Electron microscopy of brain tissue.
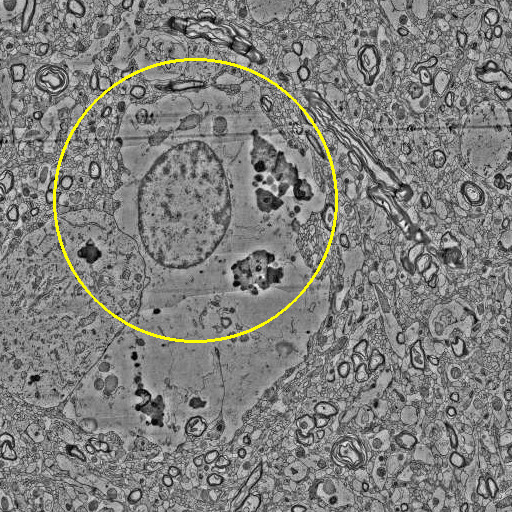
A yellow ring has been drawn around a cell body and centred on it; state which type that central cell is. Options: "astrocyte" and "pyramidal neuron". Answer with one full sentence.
The cell at the middle of the yellow ring is an astrocyte in this picture.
